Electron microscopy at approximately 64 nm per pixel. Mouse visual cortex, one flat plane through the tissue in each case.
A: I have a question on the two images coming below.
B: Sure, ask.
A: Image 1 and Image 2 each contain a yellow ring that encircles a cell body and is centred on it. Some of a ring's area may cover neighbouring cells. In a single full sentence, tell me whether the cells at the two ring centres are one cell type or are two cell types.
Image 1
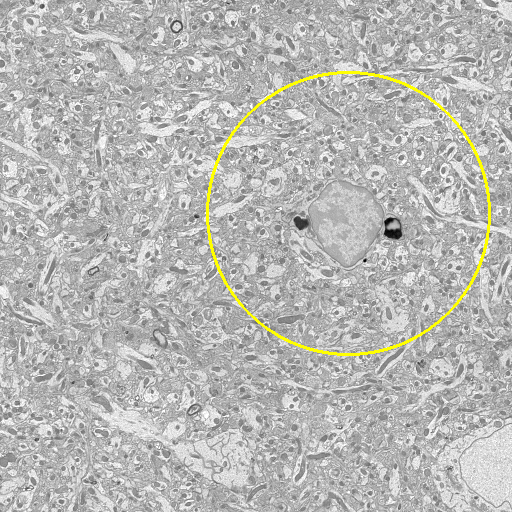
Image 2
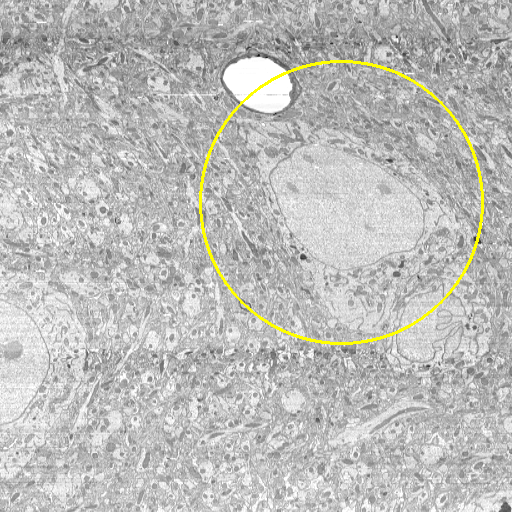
As for the ring-centre cells, the one in Image 1 and the one in Image 2 are two cell types.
